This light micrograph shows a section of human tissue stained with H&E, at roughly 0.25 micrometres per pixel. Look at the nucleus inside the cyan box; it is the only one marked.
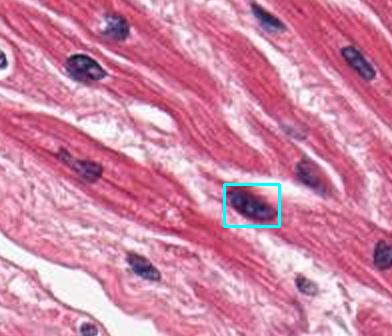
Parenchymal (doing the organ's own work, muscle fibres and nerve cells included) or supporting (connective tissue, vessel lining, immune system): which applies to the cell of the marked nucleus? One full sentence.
A parenchymal cell holds the marked nucleus, and that cell is a cardiomyocyte.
